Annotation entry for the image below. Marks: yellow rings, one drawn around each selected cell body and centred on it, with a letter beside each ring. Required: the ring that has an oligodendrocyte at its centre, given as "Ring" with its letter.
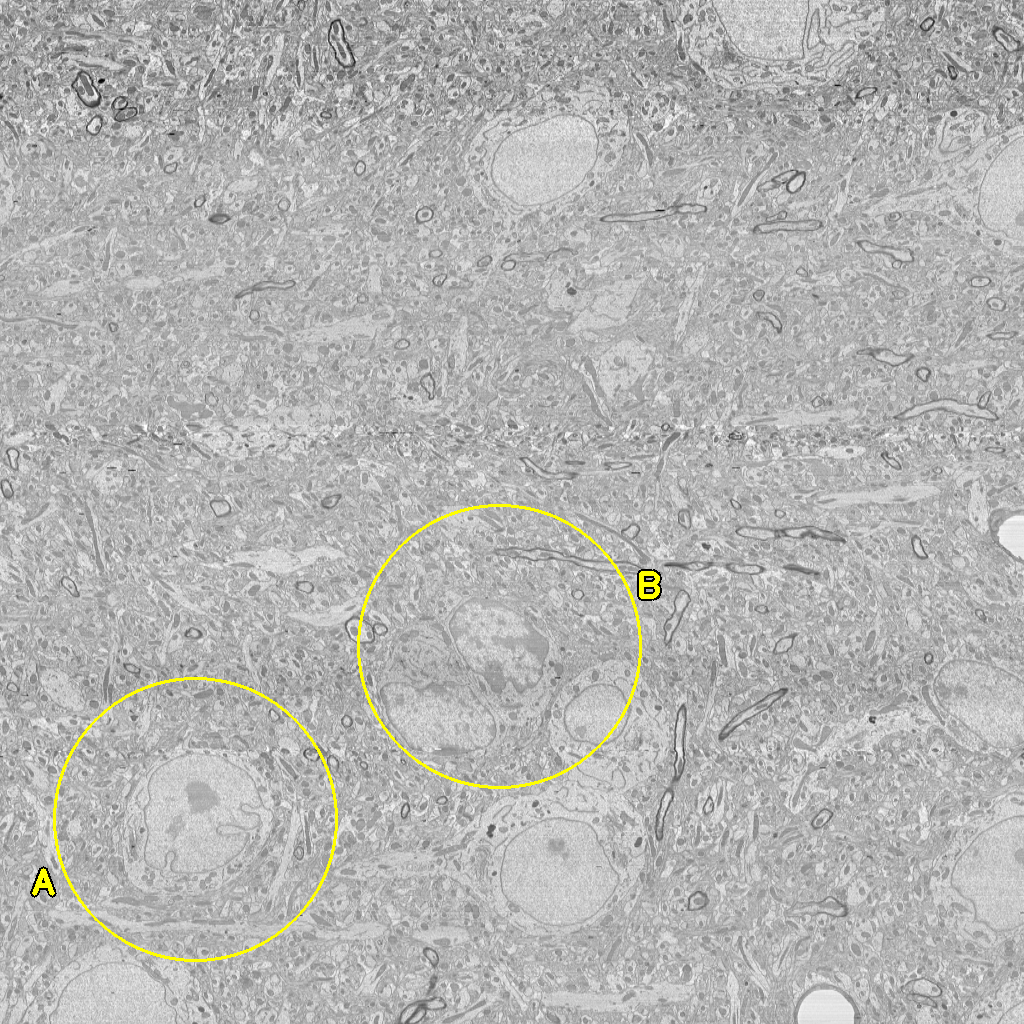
Ring B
